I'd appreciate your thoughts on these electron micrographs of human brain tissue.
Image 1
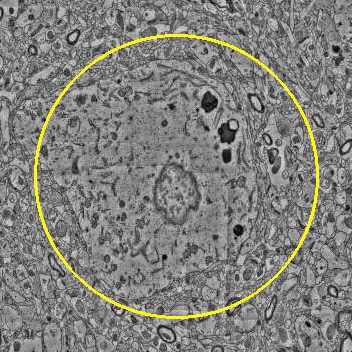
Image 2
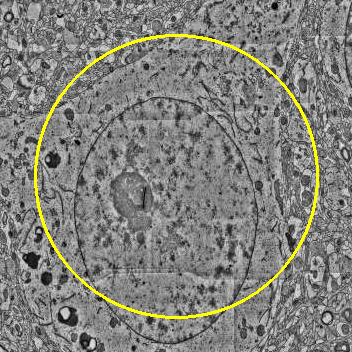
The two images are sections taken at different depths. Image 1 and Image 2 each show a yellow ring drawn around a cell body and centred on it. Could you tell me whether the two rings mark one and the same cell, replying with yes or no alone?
no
